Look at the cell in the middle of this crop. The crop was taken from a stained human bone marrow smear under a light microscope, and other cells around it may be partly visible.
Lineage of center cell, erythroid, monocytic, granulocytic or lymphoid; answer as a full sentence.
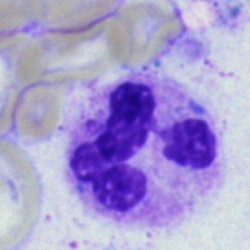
With respect to lineage, the middle cell falls within the granulocytic lineage.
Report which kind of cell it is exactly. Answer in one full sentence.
The cell in the middle of the field of view is a segmented neutrophil.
